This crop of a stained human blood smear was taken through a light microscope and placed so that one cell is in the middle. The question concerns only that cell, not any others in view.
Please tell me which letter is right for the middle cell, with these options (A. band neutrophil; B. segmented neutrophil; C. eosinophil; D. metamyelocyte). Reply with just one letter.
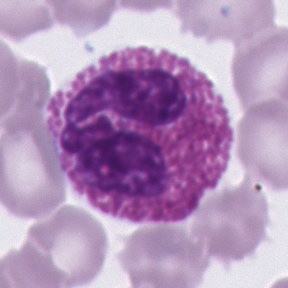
C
